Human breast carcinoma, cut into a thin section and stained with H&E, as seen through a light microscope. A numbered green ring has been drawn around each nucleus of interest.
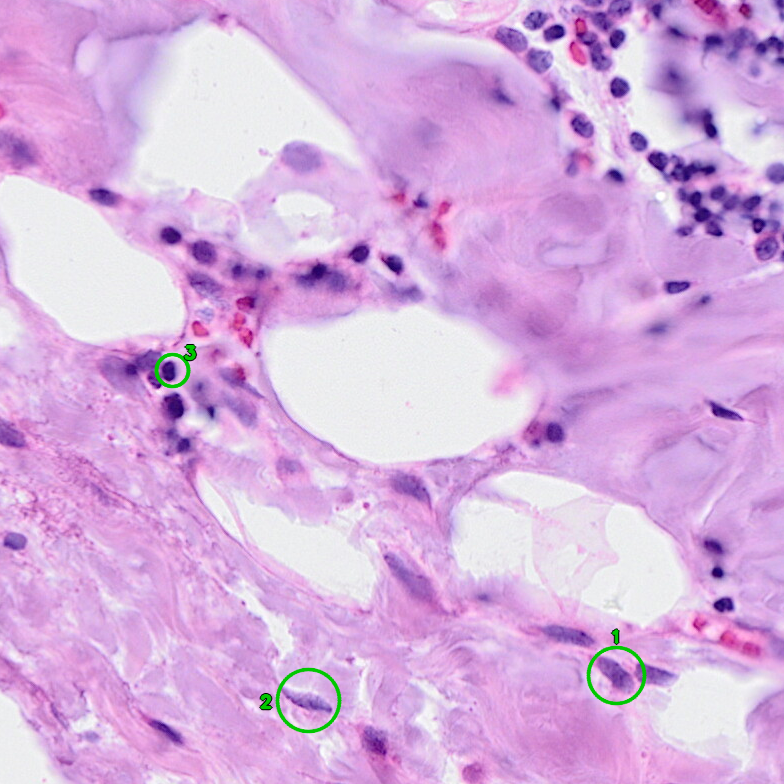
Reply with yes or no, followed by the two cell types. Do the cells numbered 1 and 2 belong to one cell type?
Yes, the cells bearing numbers 1 and 2 are both fibroblasts.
